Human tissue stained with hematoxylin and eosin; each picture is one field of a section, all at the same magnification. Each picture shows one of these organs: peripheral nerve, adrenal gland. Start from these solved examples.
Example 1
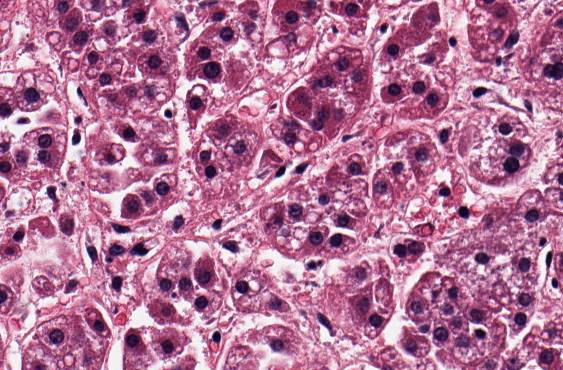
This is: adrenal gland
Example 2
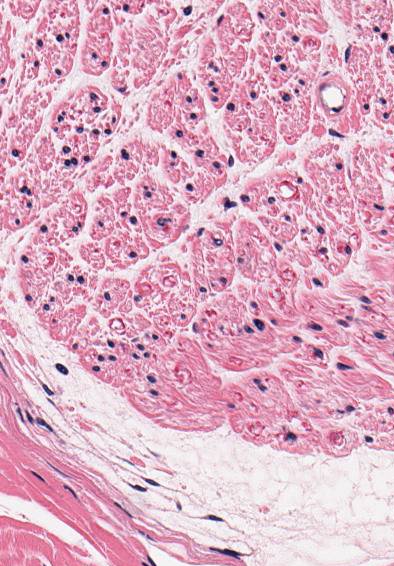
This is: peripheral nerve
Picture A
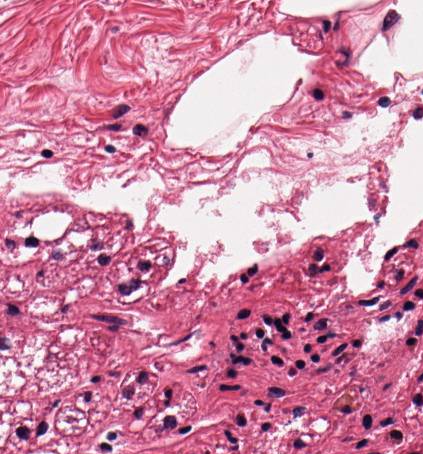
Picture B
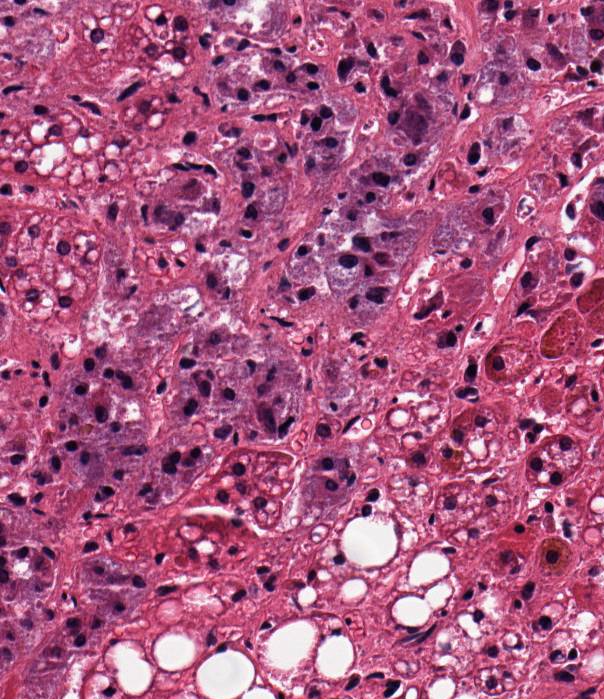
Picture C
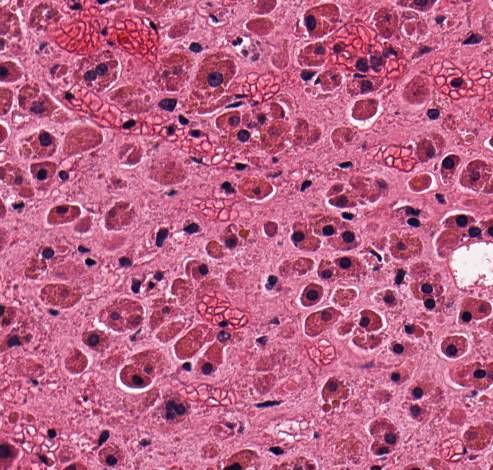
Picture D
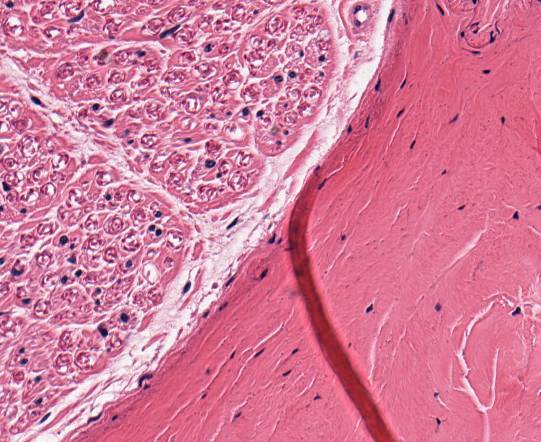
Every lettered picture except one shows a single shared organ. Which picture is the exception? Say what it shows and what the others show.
Odd one out: D (peripheral nerve). The rest: adrenal gland.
